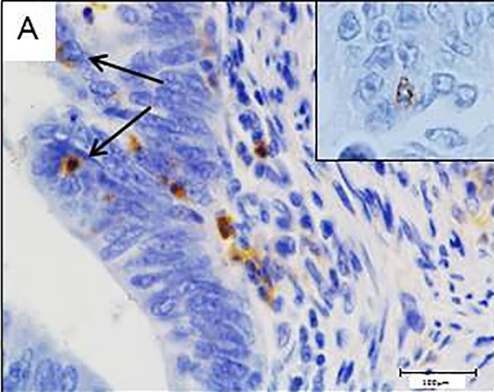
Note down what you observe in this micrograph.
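The epithelium is made of tall cells with long, pencil-shaped blue nuclei packed side by side and stacked in several tiers. Within this lining, among the epithelial nuclei, sit a few small cells with brown-stained cytoplasm. More brown-stained cells gather in the tissue just beneath the epithelium, among spindle-shaped and round stromal nuclei. The inset enlarges one small stained cell squeezed between the larger, paler nuclei of the tumor cells.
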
